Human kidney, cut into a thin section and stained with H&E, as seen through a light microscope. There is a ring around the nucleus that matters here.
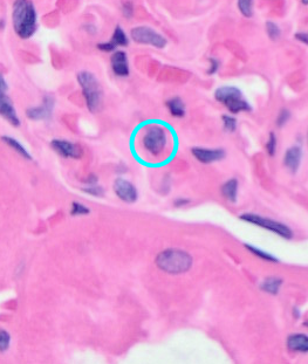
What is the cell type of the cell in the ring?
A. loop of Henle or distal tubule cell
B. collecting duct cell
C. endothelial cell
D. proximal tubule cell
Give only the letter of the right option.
C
